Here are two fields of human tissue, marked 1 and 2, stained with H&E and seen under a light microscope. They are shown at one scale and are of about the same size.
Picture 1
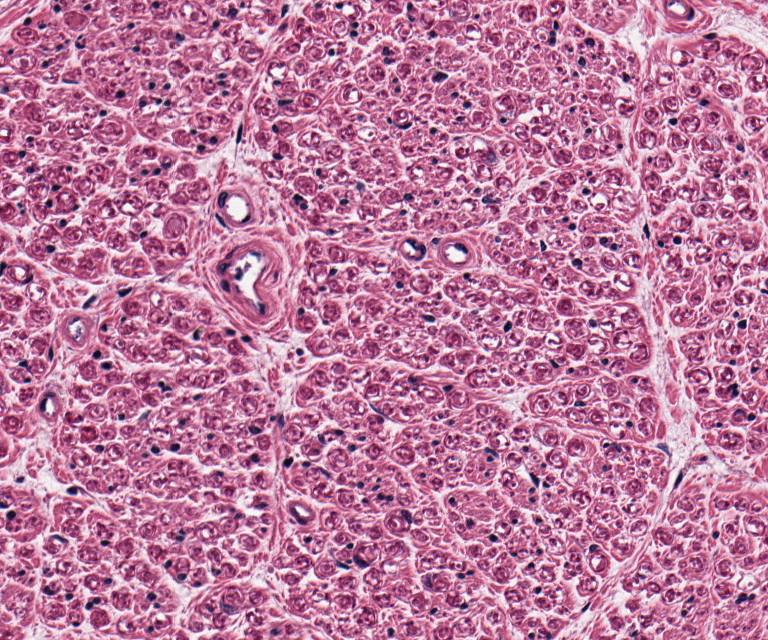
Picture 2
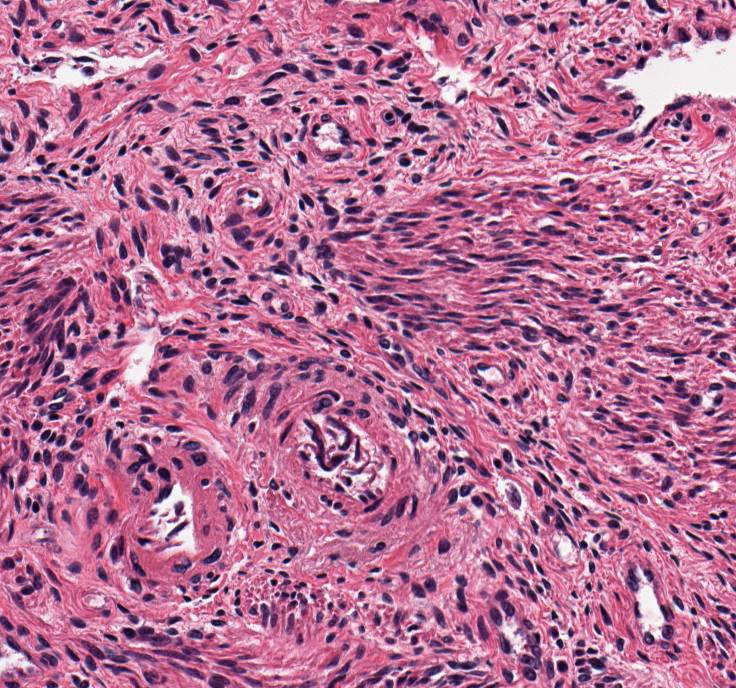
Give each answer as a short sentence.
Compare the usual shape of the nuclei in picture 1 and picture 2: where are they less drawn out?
On the whole the nuclei of picture 1 are rounder than those of picture 2.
